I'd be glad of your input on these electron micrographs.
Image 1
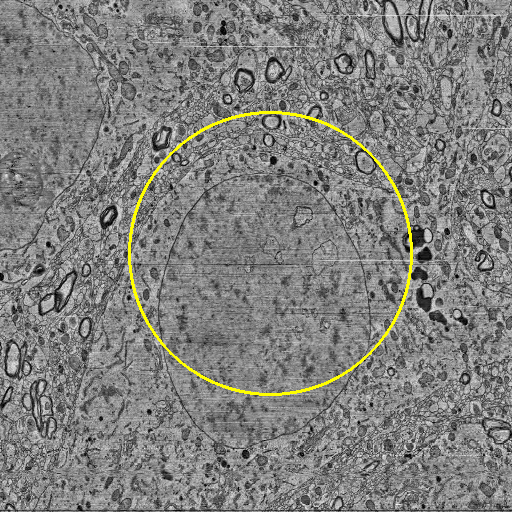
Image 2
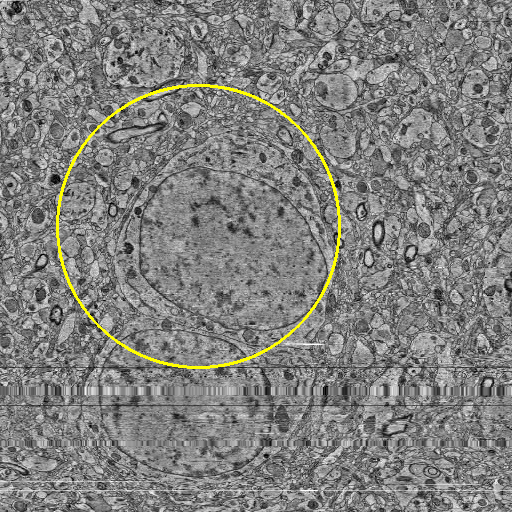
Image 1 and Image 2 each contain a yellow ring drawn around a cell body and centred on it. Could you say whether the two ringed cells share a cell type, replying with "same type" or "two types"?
same type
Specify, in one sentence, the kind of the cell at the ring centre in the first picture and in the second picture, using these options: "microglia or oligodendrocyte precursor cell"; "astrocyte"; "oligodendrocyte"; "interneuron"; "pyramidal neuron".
The ring centre holds a pyramidal neuron in each of the two pictures.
